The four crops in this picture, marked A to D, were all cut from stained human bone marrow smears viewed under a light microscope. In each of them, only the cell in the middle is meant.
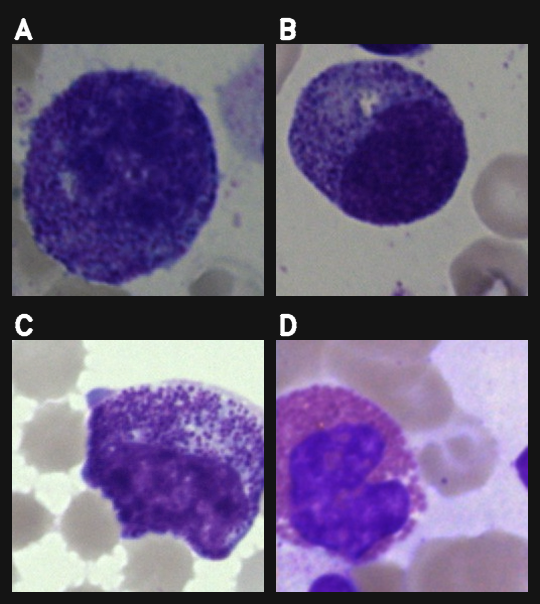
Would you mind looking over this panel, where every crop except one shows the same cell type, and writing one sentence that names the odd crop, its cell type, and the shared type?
Crop D differs, its cell being an eosinophil, whereas the other crops show promyelocytes.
